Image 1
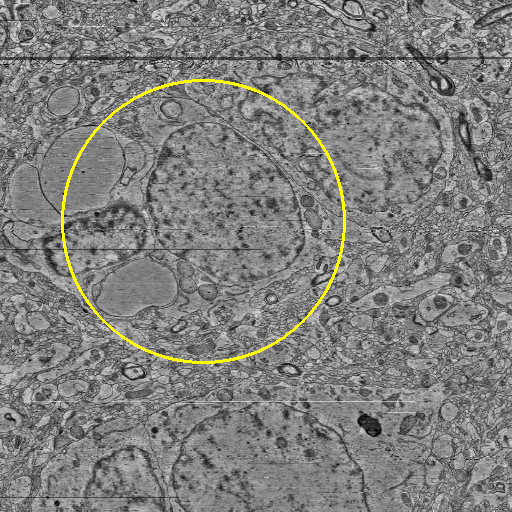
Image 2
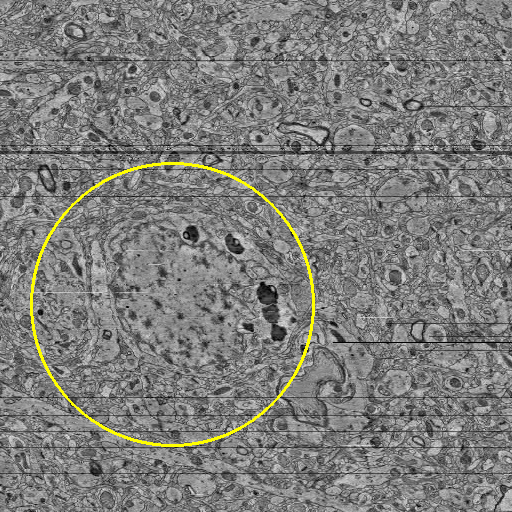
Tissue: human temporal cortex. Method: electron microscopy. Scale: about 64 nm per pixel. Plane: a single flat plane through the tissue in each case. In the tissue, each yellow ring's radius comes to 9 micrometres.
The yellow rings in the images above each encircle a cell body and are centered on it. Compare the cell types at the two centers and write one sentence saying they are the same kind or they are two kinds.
Taken together, the two cells at the ring centers are two kinds.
